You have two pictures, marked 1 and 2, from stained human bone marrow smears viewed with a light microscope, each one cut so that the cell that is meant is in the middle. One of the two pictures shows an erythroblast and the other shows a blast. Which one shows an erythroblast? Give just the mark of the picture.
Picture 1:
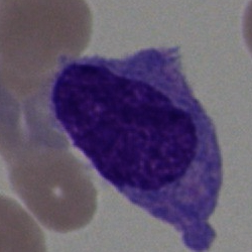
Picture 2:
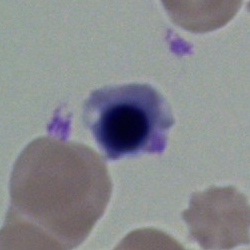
2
